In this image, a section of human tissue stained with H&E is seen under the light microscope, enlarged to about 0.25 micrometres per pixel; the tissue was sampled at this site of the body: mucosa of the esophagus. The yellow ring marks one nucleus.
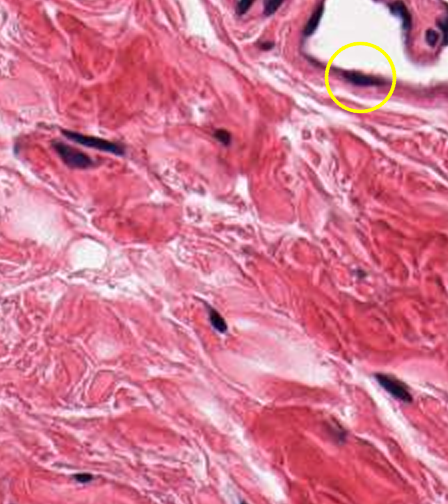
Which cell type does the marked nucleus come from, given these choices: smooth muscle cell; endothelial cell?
endothelial cell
